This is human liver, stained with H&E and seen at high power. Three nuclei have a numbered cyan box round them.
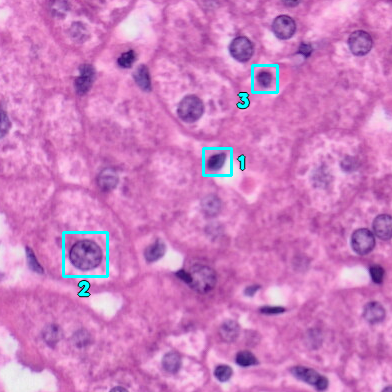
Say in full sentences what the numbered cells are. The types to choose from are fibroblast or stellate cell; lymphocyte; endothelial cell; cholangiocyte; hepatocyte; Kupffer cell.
Cell 1 is a fibroblast or stellate cell. Cell 2 is a hepatocyte. Cell 3 is a lymphocyte.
